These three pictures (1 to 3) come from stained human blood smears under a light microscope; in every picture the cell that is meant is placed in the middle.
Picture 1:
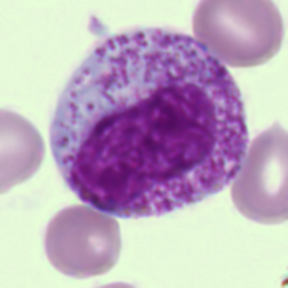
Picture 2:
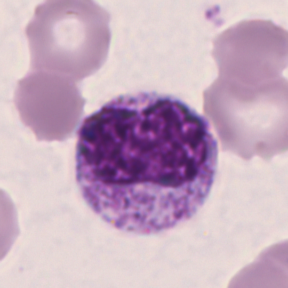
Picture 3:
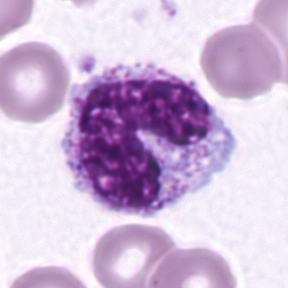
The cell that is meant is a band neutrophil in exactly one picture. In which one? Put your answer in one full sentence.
The band neutrophil is the one in picture 3.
